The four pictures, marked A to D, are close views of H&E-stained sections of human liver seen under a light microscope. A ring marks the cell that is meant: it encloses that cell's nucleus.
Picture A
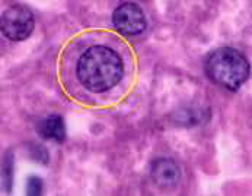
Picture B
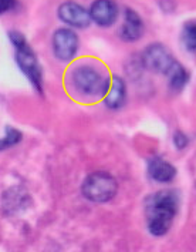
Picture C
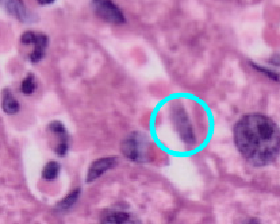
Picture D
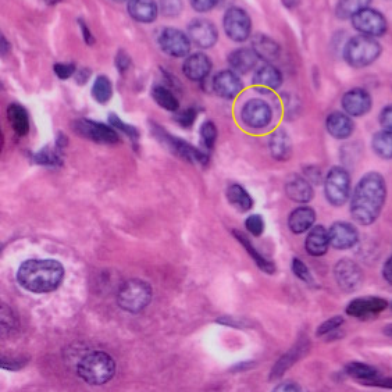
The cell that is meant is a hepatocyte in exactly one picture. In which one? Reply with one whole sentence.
It is picture A that shows the hepatocyte.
